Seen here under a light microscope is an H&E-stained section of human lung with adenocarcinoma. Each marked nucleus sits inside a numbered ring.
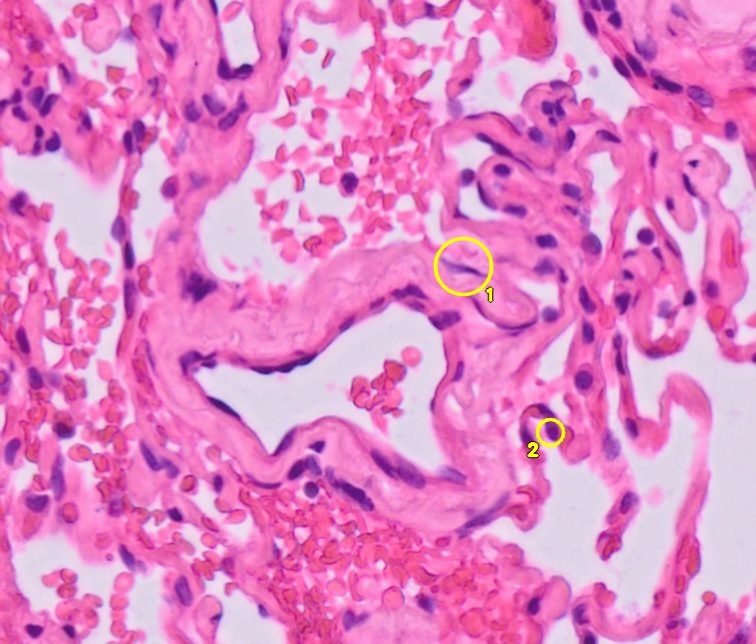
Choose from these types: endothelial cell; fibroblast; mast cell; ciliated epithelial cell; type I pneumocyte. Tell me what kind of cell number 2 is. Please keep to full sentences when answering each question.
The nucleus with number 2 is that of a type I pneumocyte.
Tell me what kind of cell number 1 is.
The cell numbered 1 represents a fibroblast.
